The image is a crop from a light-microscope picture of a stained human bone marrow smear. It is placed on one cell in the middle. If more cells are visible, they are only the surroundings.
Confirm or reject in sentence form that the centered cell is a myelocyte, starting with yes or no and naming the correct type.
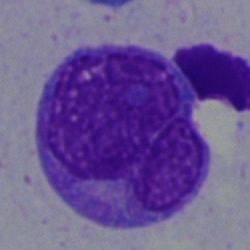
No, the cell placed in the centre is a promyelocyte and is not a myelocyte.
